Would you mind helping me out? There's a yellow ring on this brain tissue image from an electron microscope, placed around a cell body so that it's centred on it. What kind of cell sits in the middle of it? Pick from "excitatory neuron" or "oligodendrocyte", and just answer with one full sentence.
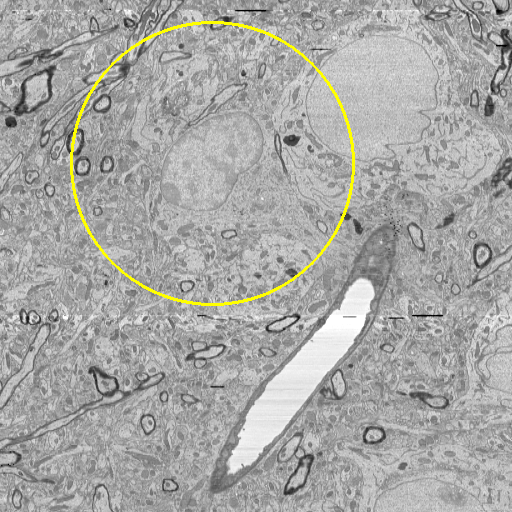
What sits in the middle of that yellow ring is an oligodendrocyte, from your choices.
